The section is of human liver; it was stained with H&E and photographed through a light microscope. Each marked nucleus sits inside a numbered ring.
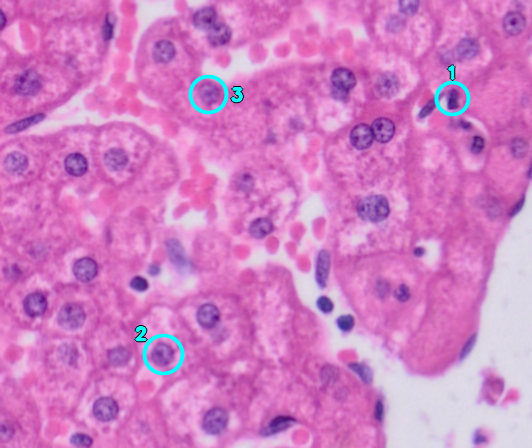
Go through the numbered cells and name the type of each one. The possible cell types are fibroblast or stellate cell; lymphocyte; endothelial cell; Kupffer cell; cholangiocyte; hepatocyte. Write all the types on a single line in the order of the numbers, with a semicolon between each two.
fibroblast or stellate cell; hepatocyte; hepatocyte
